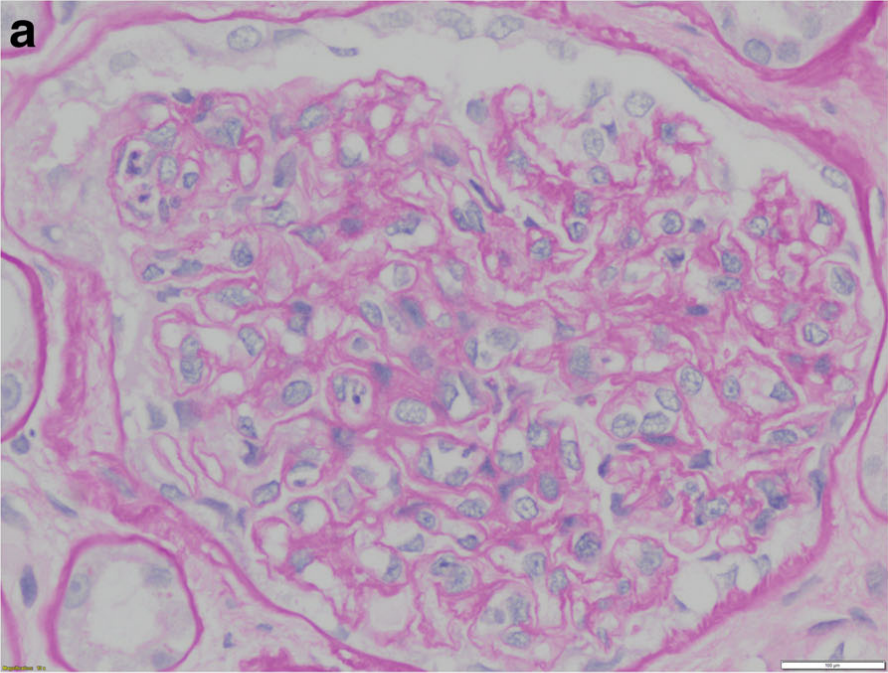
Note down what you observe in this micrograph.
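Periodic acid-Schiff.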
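A single glomerulus with a hypercellular tuft in a lobular pattern, surrounded by Bowman's capsule and neighbouring tubules. Magenta basement membranes outline the capillary loops and divide the tuft into lobules. The Bowman's space is a narrow clear rim between the tuft and the magenta capsule. Cross-sections of tubules with magenta basement membranes lie at the corners.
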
